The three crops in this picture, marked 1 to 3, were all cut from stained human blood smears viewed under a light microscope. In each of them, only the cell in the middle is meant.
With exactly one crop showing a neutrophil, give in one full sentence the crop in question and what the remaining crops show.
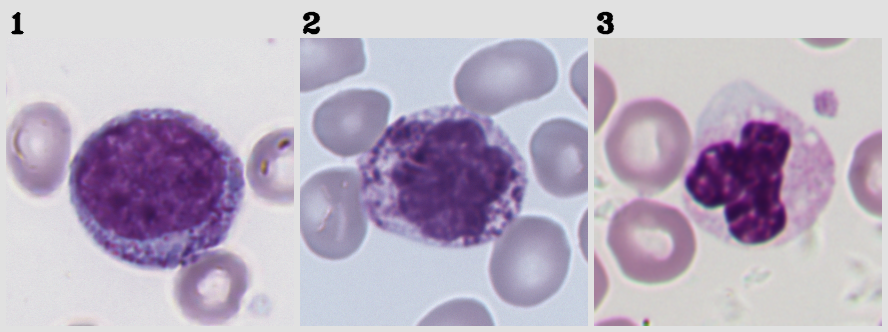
Crop 3 should be logged as a neutrophil, while crop 1 is a promyelocyte and crop 2 is a basophil.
